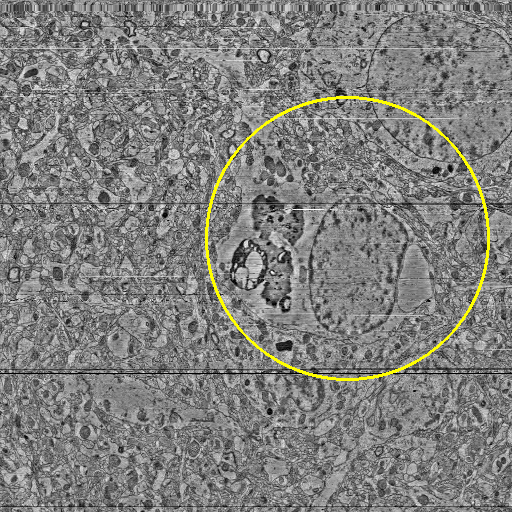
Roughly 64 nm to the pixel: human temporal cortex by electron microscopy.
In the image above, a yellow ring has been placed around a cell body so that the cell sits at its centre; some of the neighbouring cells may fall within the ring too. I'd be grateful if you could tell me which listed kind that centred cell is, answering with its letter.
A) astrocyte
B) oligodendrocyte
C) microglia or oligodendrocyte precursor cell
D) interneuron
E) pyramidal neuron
A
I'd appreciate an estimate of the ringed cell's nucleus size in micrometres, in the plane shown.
About 9 by 7 micrometers, in this plane.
